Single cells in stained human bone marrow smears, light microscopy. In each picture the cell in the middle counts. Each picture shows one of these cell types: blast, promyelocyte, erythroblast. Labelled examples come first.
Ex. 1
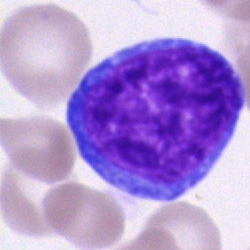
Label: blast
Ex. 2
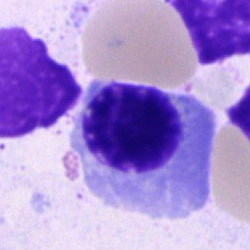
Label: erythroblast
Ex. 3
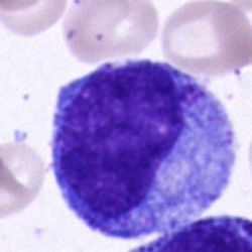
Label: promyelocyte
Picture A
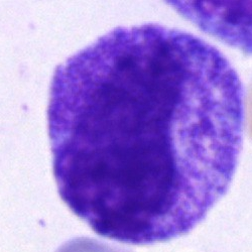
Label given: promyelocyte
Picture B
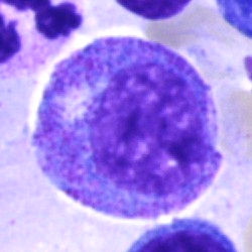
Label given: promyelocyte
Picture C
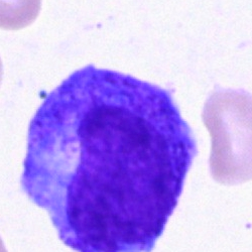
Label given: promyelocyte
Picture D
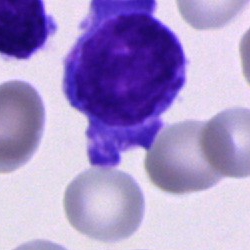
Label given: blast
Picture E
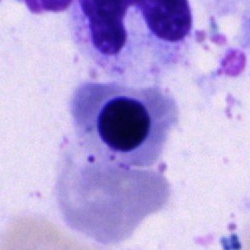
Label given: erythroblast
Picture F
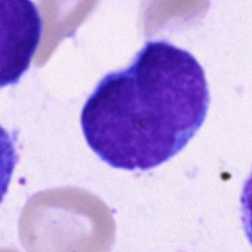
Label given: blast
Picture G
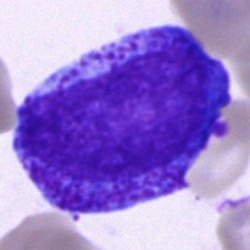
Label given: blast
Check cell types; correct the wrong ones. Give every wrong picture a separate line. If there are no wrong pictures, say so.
G should be promyelocyte, not blast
